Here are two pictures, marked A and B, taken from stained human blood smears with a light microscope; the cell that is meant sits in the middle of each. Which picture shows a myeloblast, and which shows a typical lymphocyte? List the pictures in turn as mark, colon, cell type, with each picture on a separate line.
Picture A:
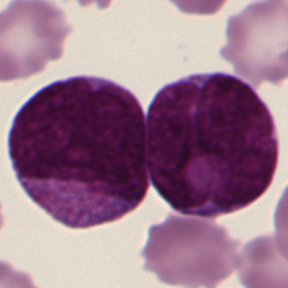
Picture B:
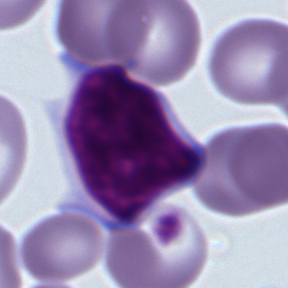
A: myeloblast
B: typical lymphocyte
